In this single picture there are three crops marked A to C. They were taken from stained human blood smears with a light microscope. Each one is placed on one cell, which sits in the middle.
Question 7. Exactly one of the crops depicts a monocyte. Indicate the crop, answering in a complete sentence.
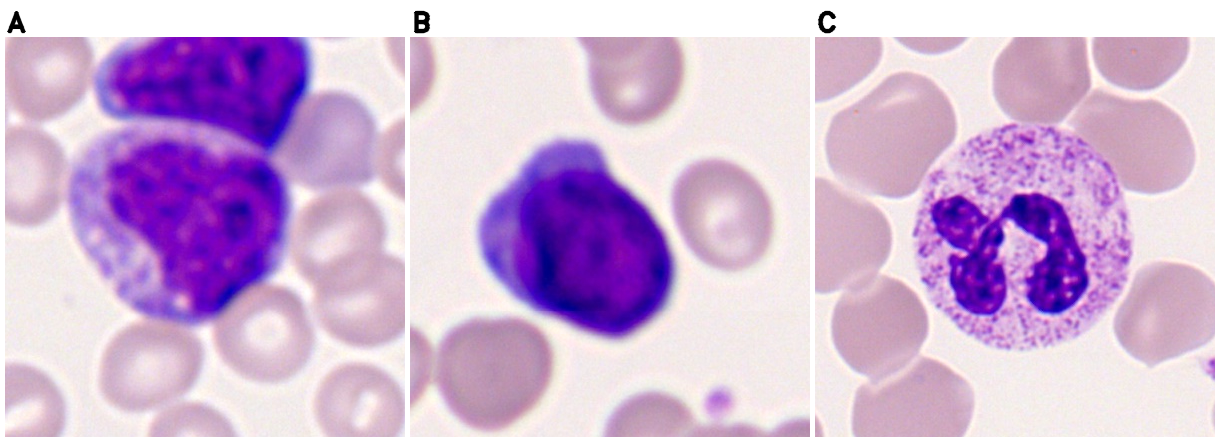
Crop A is the crop whose central cell is a monocyte.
